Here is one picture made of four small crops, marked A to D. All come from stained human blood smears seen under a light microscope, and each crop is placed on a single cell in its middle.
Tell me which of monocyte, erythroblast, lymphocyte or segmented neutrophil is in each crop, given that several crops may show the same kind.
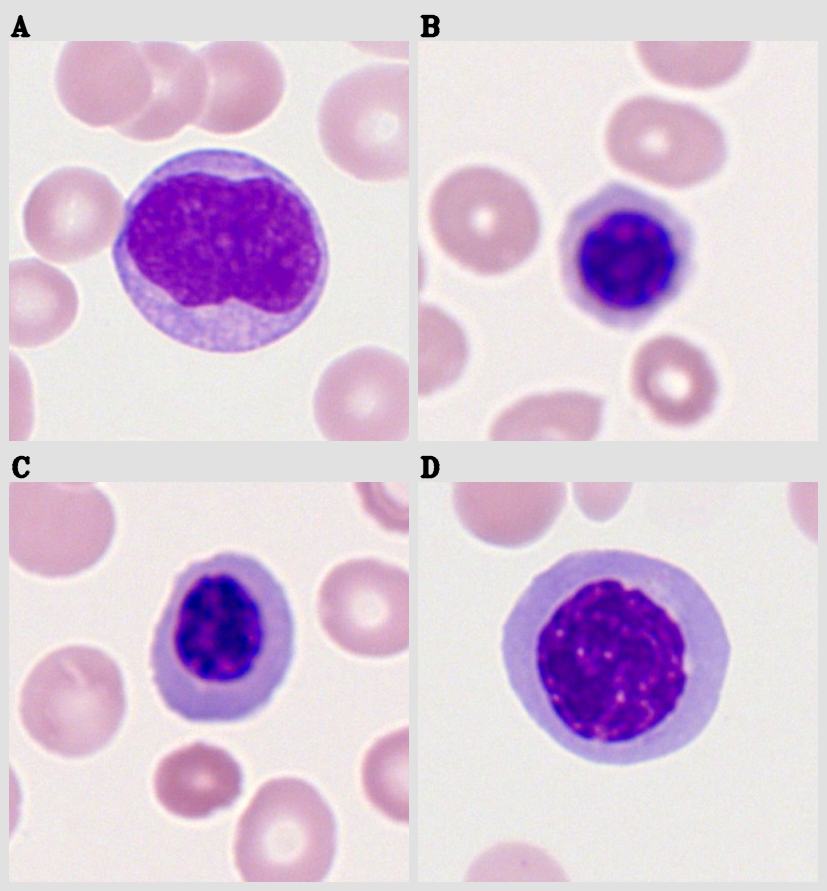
A: monocyte
B: erythroblast
C: erythroblast
D: erythroblast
